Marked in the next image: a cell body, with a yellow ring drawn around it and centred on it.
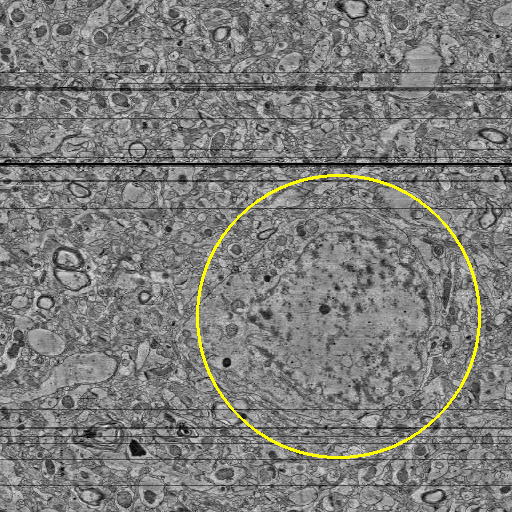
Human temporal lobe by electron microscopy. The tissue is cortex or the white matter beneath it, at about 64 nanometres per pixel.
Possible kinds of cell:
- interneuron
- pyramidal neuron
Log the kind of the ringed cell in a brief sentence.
The ringed cell body is that of an interneuron.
